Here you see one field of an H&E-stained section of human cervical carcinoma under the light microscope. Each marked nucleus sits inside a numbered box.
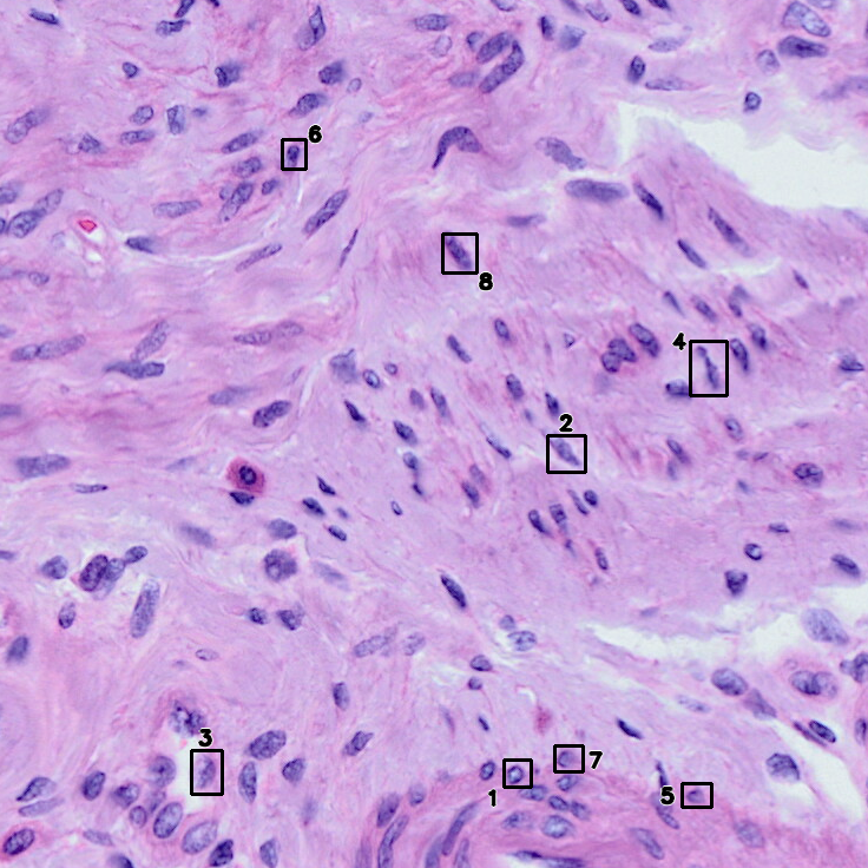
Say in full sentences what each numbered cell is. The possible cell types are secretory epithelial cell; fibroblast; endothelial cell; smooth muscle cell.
Cells 1, 5, 6, 7 and 8 are smooth muscle cells. Cells 2 and 4 are fibroblasts. Cell 3 is an endothelial cell.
